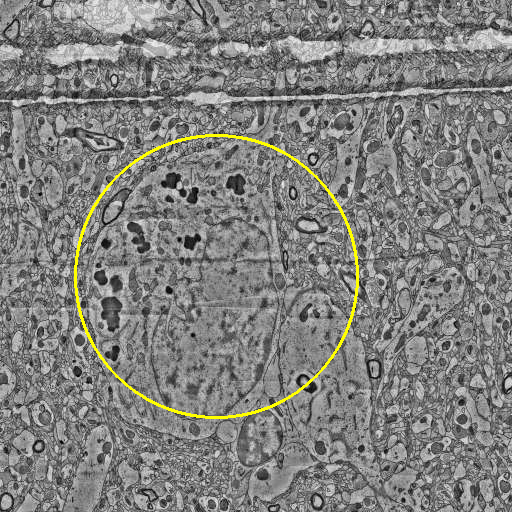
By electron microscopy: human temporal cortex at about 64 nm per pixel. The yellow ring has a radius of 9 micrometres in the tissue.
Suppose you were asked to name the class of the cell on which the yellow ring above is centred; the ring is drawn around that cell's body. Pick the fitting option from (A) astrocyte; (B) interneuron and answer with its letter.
B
